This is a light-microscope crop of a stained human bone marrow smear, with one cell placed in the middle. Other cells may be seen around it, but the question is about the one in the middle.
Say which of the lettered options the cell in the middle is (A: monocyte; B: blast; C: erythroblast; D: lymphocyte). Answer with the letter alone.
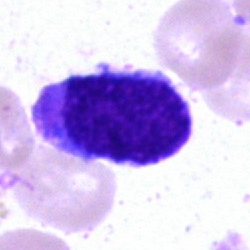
B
